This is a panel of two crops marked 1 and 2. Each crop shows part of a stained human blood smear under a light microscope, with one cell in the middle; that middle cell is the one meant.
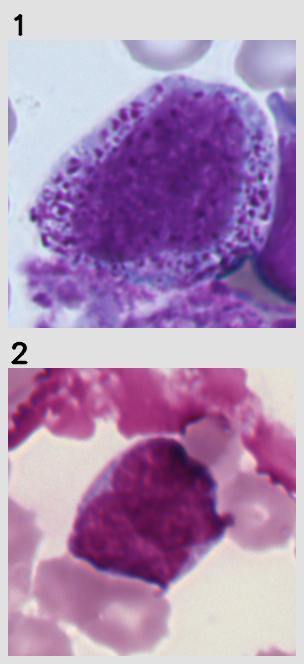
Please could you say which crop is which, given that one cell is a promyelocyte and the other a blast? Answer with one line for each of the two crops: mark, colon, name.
1: promyelocyte
2: blast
